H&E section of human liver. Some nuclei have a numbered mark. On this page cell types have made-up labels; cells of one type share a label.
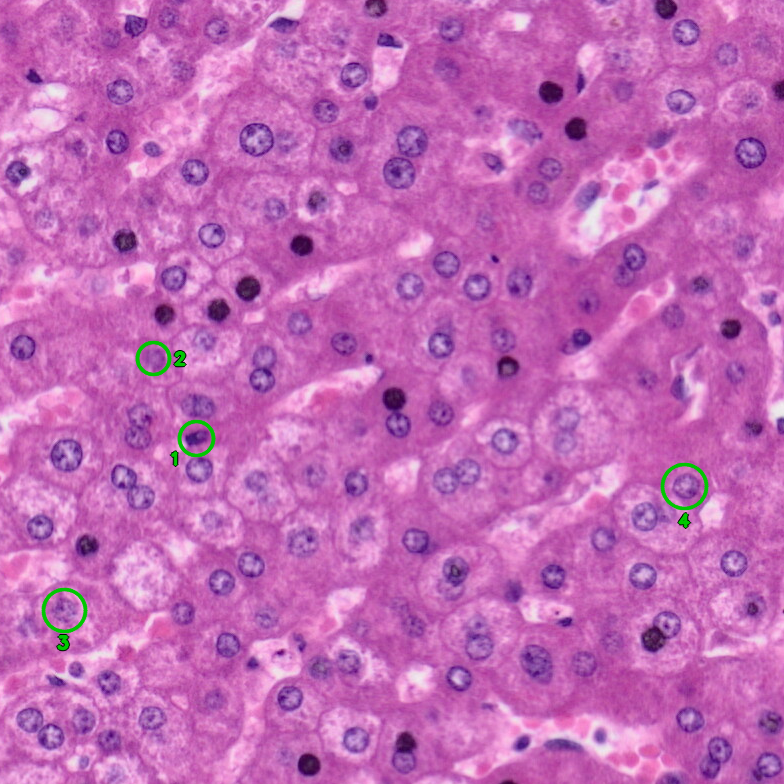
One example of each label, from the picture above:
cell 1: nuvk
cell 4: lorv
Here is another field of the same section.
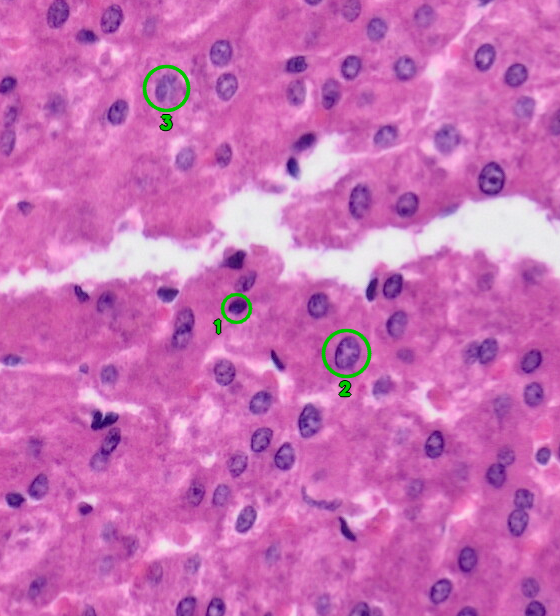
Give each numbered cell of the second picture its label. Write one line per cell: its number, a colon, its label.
1: nuvk
2: lorv
3: lorv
